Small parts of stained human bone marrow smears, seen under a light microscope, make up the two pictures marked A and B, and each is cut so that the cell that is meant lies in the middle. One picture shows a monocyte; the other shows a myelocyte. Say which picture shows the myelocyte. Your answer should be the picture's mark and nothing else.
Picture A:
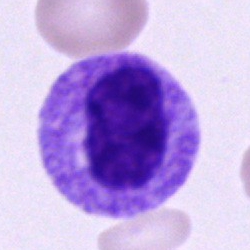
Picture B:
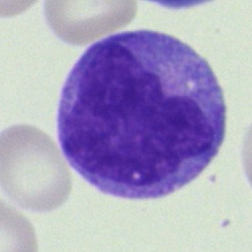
A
